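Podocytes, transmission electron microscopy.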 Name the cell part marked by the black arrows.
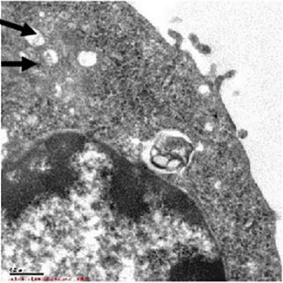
autophagosomes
